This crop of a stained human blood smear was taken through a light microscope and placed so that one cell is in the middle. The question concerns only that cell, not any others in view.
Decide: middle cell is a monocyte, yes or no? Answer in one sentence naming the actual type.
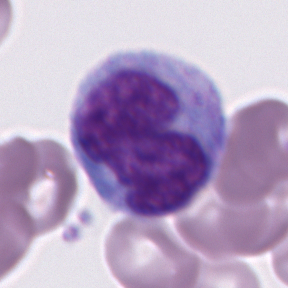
Yes, the cell centred in the field of view is a monocyte.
